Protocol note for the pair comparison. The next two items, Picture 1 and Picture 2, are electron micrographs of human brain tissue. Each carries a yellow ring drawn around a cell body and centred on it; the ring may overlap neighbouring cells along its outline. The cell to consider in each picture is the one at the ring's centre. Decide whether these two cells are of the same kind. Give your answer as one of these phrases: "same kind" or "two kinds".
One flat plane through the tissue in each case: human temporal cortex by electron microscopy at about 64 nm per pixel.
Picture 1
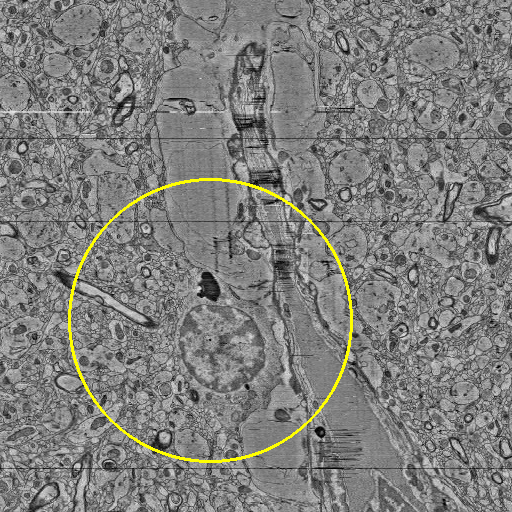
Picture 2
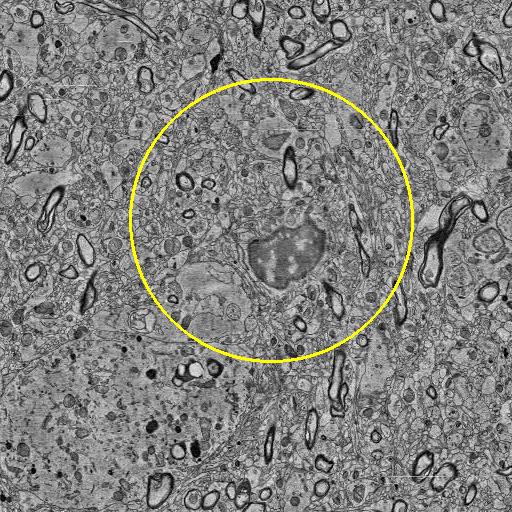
two kinds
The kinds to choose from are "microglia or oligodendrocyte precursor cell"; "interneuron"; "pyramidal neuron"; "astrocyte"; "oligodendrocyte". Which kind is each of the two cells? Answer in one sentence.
Of the two, the first cell is an oligodendrocyte and the second cell is a microglial cell or oligodendrocyte precursor cell.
